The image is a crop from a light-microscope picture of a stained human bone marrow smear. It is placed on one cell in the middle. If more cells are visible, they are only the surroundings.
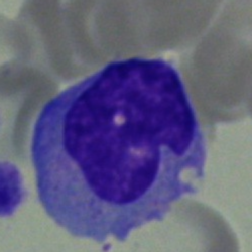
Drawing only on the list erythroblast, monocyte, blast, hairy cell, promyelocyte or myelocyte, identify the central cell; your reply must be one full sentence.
Whatever else lies nearby, the middle cell is a monocyte.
